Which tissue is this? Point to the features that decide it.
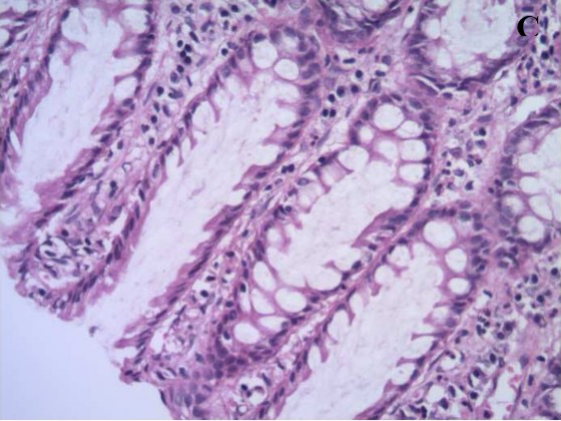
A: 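Colonic segment. Straight, parallel tubular crypts. The crypts are lined by many pale goblet cells. There are no villi.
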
